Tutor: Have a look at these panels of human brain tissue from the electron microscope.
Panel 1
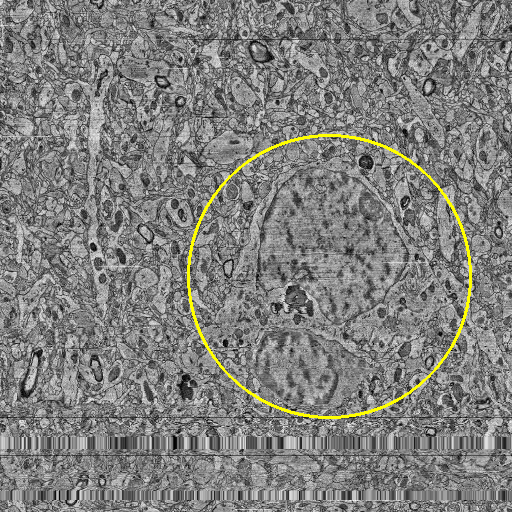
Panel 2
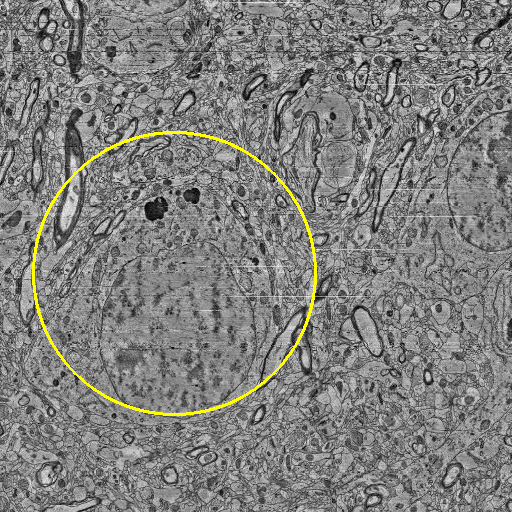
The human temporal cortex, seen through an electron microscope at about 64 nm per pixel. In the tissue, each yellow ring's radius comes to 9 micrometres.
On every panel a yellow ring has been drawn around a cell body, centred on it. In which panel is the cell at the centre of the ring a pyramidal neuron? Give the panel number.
2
